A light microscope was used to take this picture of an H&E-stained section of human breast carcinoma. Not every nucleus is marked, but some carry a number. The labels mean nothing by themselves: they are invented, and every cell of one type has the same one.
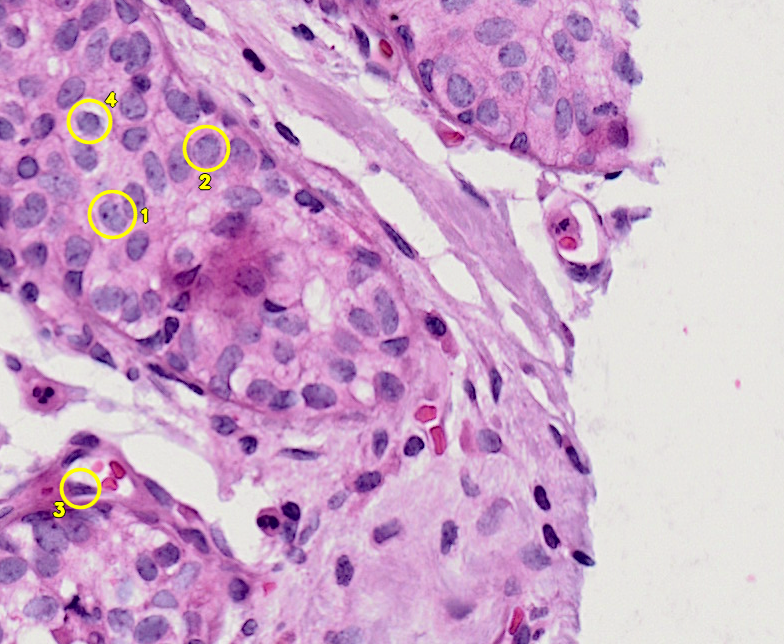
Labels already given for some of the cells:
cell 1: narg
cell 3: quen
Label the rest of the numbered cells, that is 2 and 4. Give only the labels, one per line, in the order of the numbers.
narg
narg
